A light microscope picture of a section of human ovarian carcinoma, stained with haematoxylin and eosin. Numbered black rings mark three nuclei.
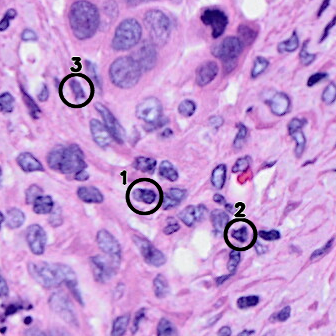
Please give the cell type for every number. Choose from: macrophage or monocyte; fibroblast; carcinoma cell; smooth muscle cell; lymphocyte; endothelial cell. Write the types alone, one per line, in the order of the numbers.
lymphocyte
lymphocyte
fibroblast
